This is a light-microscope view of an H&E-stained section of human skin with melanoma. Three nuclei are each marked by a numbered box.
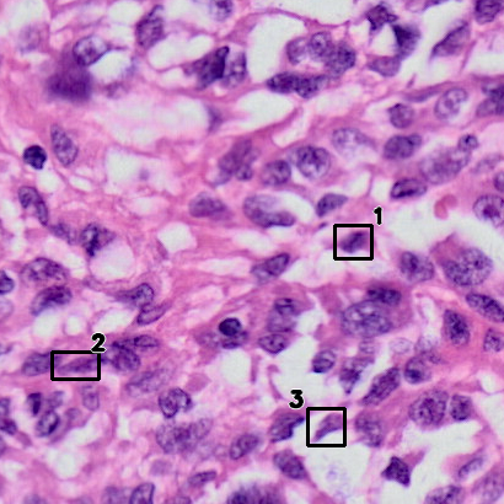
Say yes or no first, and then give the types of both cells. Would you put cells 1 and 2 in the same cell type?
No, cell 1 is a macrophage or monocyte and cell 2 is a melanoma cell.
